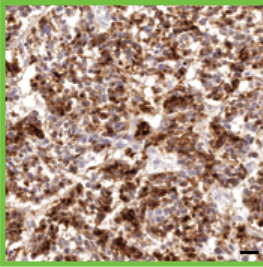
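Densely packed sheets of tumor cells fill the field, with crowded nuclei and little intervening stroma. A granular brown stain lies in the cytoplasm of most cells, sparing the blue-counterstained nuclei. The cells are small to medium with scant cytoplasm and form solid nests rather than glands.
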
